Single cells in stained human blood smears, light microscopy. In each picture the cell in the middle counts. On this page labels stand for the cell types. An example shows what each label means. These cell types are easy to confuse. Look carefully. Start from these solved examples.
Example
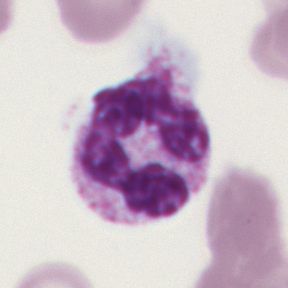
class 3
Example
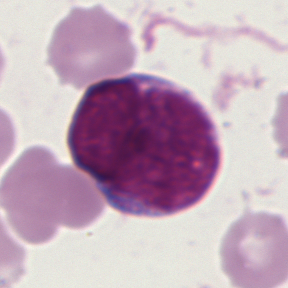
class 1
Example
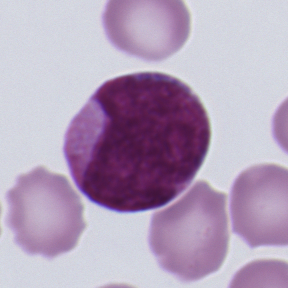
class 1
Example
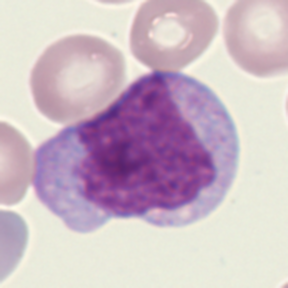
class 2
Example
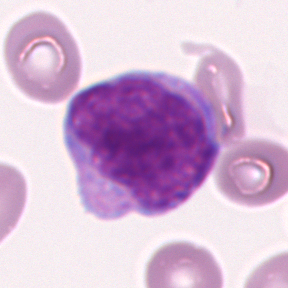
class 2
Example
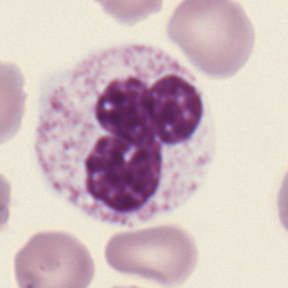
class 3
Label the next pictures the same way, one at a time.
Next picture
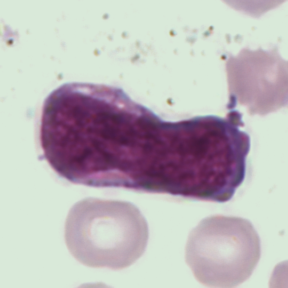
class 2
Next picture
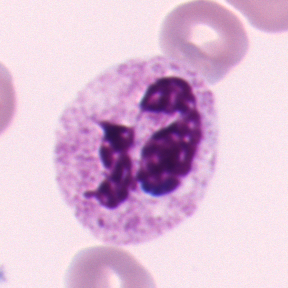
class 3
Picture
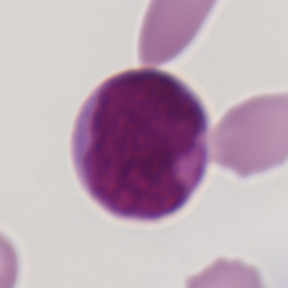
class 1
